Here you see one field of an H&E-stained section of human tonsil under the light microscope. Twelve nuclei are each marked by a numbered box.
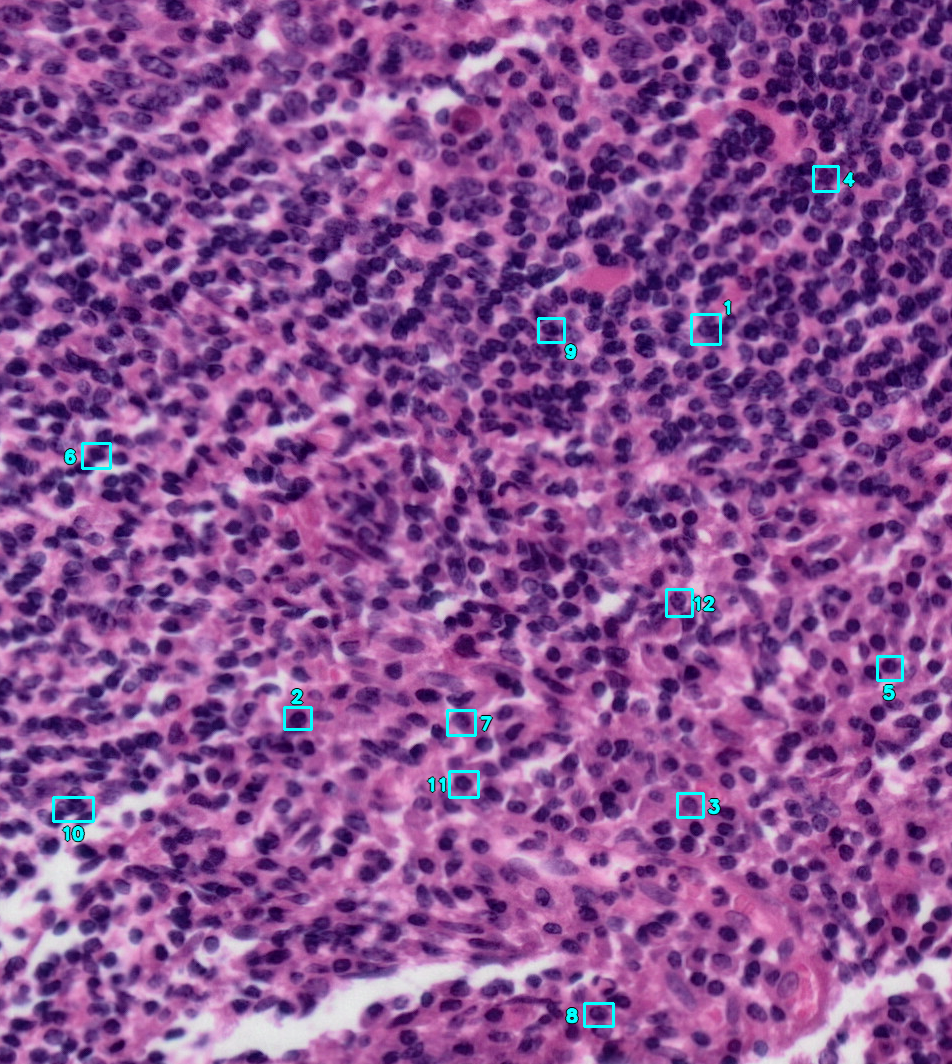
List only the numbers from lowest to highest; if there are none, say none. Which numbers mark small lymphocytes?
1, 4, 6, 9, 10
